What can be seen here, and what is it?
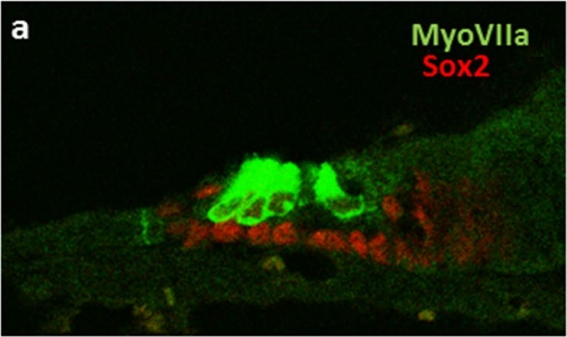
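A section of the cochlear sensory epithelium shows a small group of hair cells, filled with bright green cytoplasm and shaped like flasks, sitting at the surface of the epithelium, three together on one side and one apart on the other. Beneath them runs a row of rounded red nuclei of the underlying cells, and the epithelium to either side is only dimly labelled.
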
